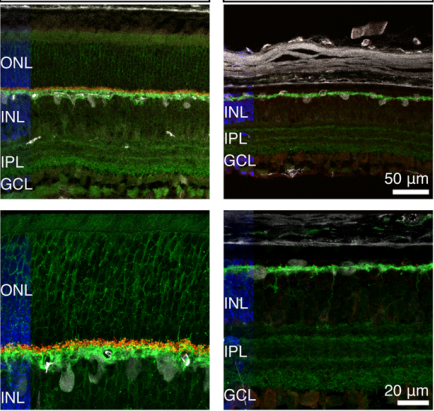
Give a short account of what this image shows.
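Cross sections of retina show its layers, with the left images holding a thick outer nuclear layer of densely packed photoreceptor nuclei outlined faintly in green. Beneath it a thin band crowded with red puncta marks the photoreceptor synapses, and large white horizontal cell bodies lie just under this band at the top of the inner nuclear layer. In the right images the thick photoreceptor layer is missing, so the inner nuclear layer lies almost directly beneath a thin green band and the overlying tissue. Green bands of the inner plexiform layer remain clearly stained in both.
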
